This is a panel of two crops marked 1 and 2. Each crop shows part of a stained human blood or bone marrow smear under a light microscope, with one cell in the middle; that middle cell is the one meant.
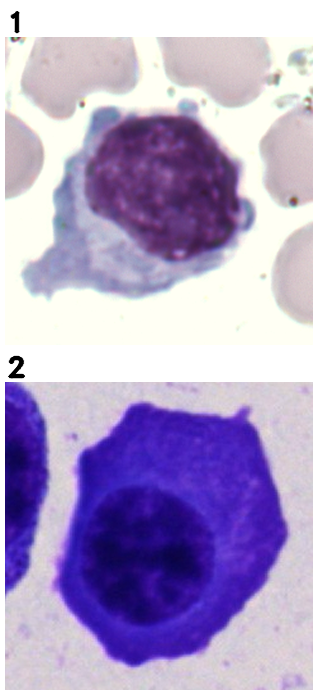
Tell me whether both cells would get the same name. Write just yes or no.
yes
